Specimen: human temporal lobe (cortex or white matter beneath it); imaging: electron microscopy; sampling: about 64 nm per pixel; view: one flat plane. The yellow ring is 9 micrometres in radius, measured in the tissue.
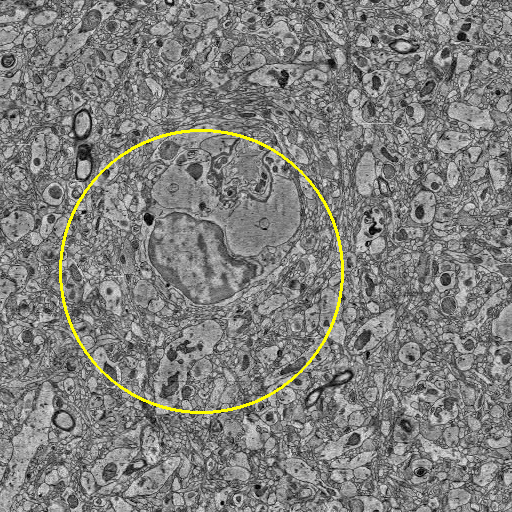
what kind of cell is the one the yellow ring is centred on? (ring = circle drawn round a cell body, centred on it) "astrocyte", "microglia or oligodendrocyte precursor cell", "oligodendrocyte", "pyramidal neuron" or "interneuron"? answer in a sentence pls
The ring is drawn around a microglial cell or oligodendrocyte precursor cell.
